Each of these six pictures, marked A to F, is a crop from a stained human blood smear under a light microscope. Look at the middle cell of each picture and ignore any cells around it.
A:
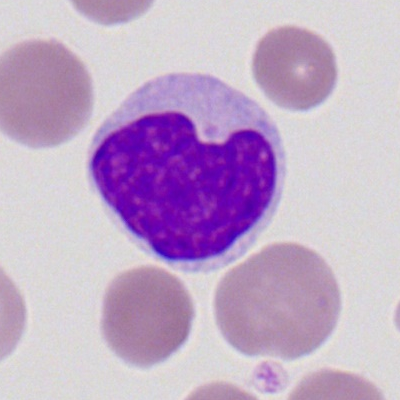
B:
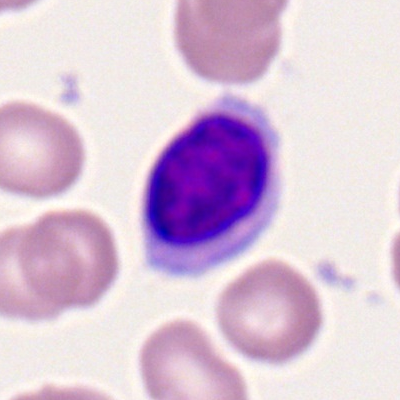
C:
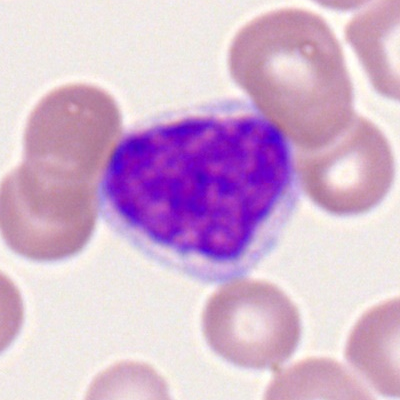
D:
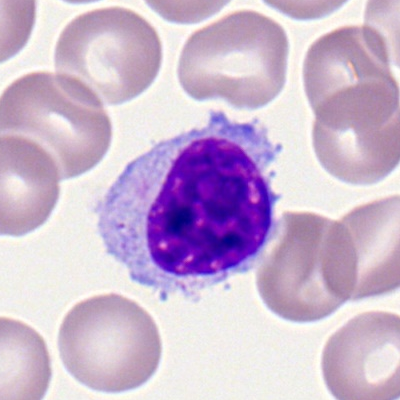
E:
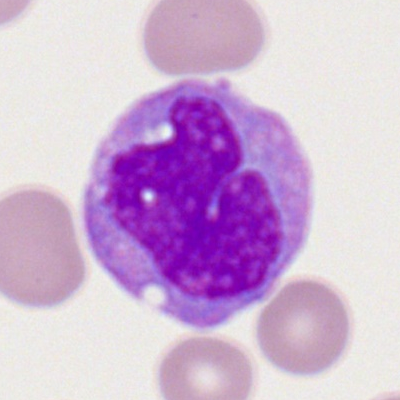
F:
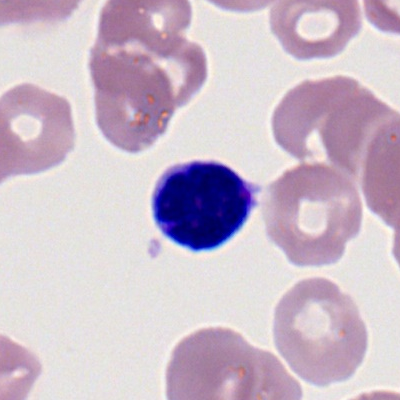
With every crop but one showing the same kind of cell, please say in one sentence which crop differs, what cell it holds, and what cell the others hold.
The pattern of lymphocytes across the crops is broken only by crop E, which shows a monocyte.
